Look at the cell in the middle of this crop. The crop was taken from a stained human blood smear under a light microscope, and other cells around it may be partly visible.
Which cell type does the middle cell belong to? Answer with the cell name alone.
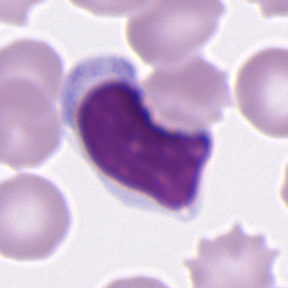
typical lymphocyte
